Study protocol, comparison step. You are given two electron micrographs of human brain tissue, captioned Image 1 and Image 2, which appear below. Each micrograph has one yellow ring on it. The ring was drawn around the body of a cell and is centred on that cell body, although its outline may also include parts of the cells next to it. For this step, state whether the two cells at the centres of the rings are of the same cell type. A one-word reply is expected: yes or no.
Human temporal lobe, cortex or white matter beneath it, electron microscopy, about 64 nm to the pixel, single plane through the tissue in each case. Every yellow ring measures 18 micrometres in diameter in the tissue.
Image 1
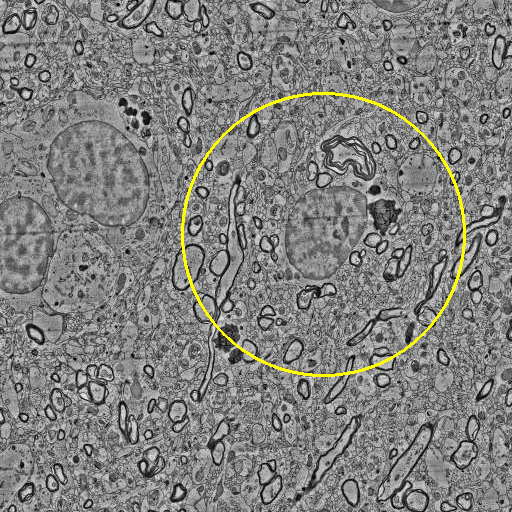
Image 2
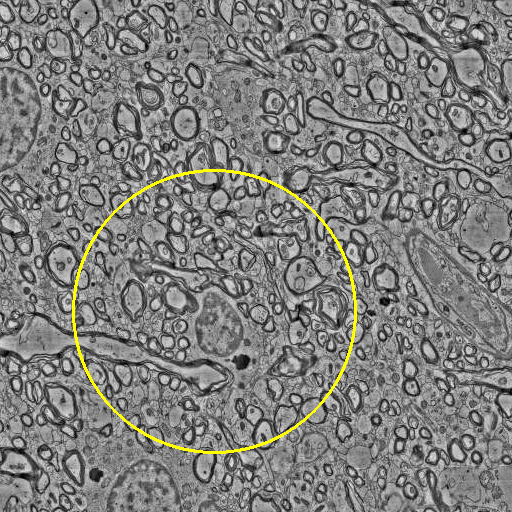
yes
